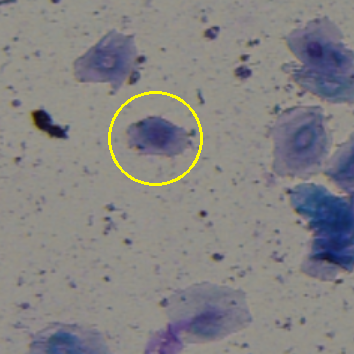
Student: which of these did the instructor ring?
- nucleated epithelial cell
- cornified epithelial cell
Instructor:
The cell I ringed is a nucleated epithelial cell.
